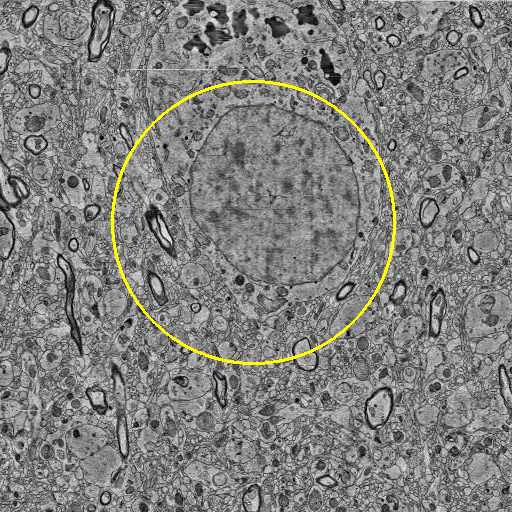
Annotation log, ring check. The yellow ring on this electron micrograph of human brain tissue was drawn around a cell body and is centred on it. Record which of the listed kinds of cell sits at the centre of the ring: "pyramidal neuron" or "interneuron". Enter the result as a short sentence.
The cell at the centre of the ring is an interneuron.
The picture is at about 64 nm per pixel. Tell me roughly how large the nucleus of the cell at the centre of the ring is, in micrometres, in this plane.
About 13 micrometres by about 11 micrometres in this plane.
